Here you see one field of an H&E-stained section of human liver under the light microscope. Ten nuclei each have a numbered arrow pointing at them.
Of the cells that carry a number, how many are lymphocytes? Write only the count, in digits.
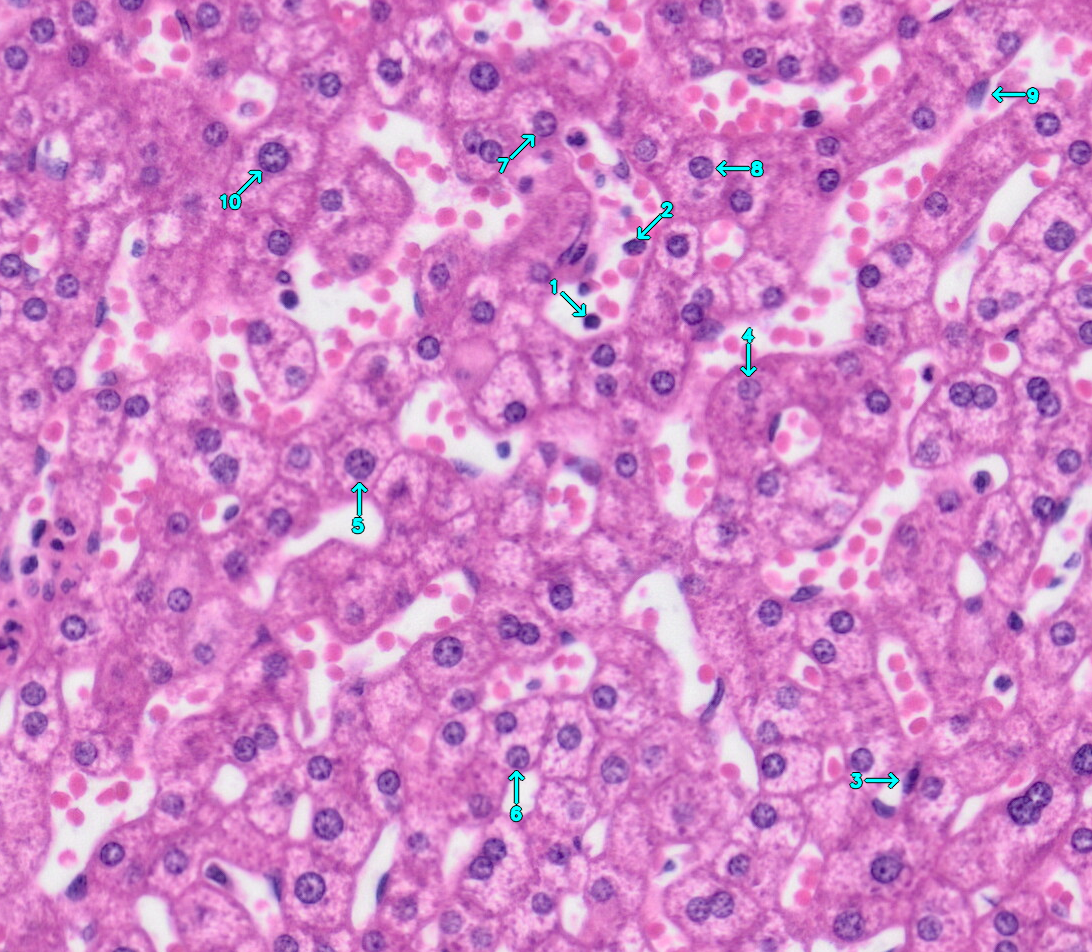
2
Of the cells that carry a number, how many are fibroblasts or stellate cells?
1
